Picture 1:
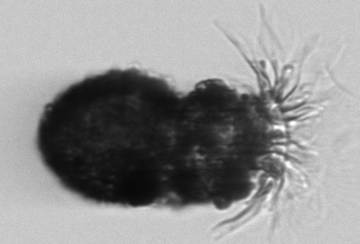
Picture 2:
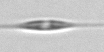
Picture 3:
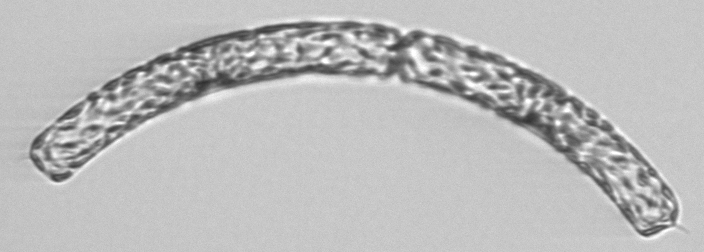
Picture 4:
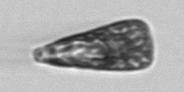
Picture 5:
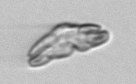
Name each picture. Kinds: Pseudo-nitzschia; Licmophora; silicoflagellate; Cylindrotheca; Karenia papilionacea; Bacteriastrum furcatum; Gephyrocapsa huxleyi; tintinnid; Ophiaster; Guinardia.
1. tintinnid
2. Cylindrotheca
3. Guinardia
4. Licmophora
5. Karenia papilionacea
